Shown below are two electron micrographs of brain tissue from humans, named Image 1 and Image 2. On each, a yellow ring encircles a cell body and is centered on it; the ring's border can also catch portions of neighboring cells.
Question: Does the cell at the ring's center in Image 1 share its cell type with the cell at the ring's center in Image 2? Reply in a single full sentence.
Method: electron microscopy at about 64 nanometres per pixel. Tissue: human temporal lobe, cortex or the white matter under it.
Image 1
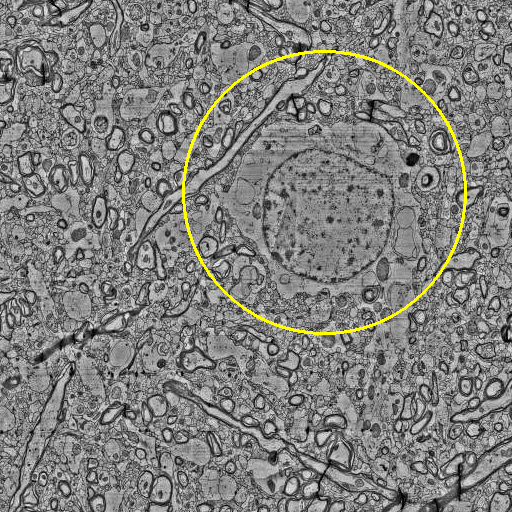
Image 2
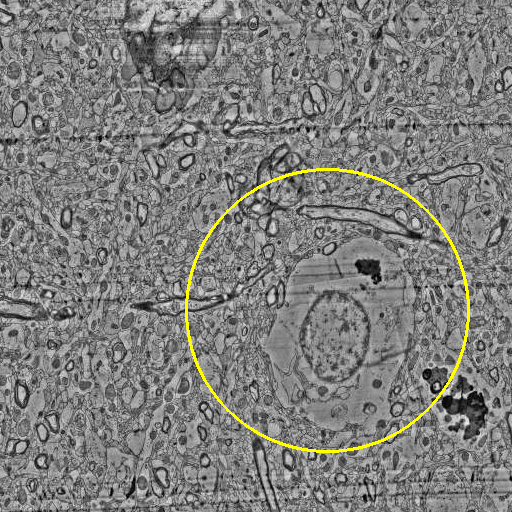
Yes, the two cells at the ring centers, in Image 1 and Image 2, share one cell type.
